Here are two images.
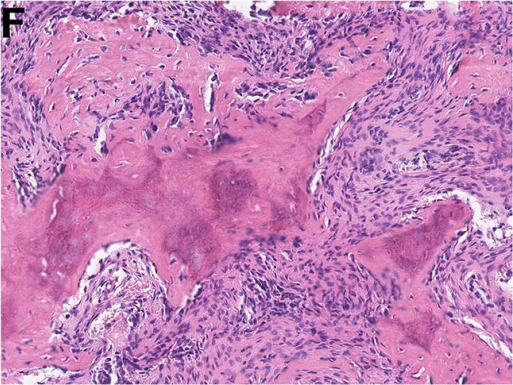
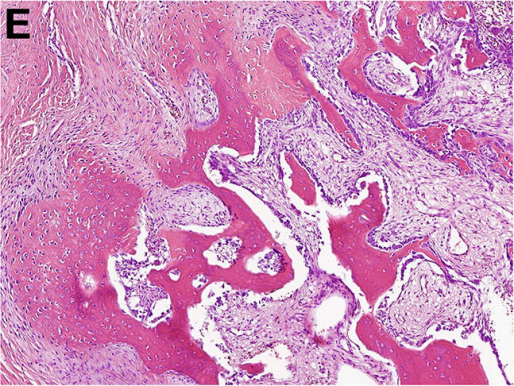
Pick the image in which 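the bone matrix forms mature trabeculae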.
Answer: the second image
